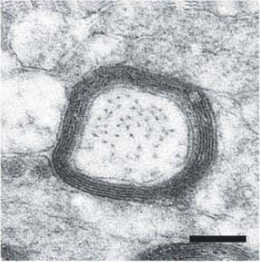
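A single myelinated axon in cross section sits in the middle, its pale interior dotted with small cytoskeletal profiles. It is wrapped by a thin, compact myelin sheath of a few dark parallel lamellae, and surrounded by paler neuropil profiles.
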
